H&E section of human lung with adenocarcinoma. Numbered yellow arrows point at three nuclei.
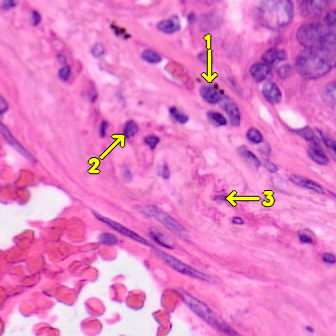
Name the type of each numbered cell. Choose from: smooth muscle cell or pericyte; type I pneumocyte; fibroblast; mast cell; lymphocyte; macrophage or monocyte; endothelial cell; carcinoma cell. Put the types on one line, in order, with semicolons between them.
lymphocyte; smooth muscle cell or pericyte; smooth muscle cell or pericyte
